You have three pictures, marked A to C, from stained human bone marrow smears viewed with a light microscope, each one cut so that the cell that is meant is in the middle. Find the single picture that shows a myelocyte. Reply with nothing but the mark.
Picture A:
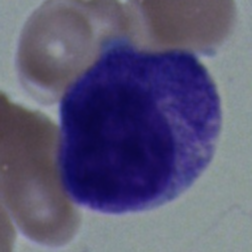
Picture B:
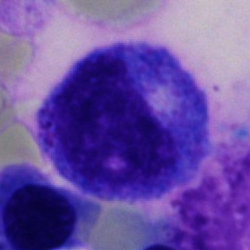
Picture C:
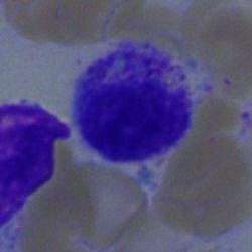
C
